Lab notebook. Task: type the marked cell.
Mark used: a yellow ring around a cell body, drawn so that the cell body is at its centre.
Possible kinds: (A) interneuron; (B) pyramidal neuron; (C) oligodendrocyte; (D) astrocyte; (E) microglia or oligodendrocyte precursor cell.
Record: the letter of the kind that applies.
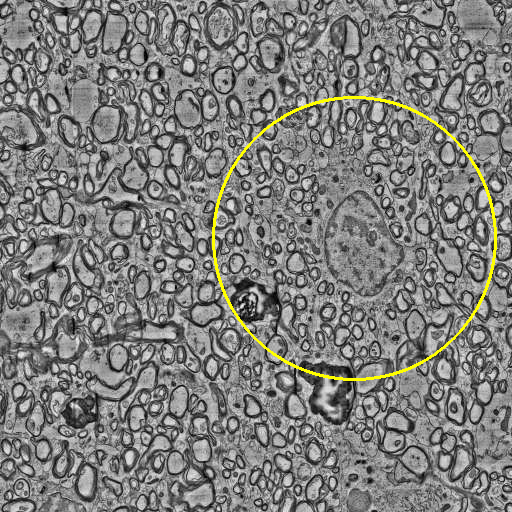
C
